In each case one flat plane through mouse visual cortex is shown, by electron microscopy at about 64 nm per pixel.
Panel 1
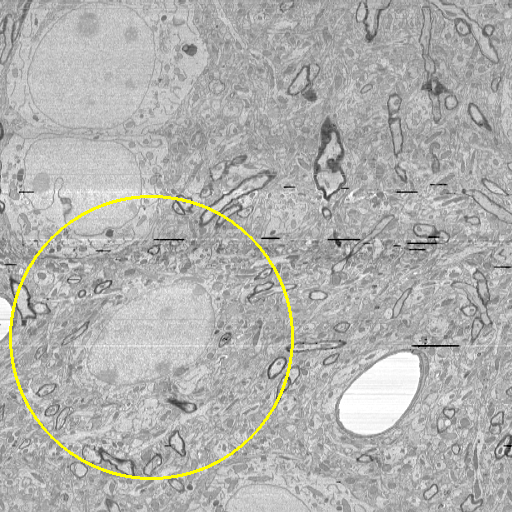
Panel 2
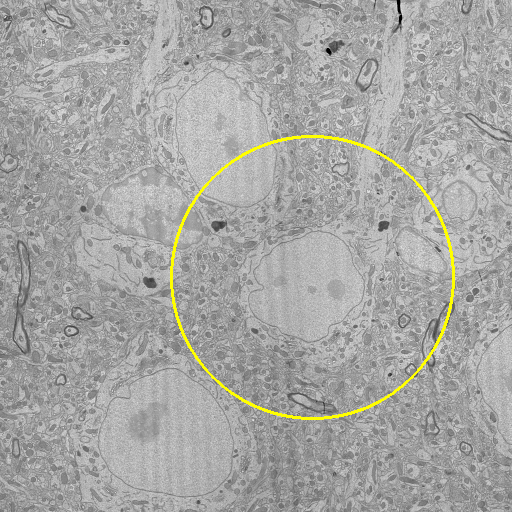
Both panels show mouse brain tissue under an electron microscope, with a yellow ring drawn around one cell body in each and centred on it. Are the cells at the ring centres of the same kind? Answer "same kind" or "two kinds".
two kinds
